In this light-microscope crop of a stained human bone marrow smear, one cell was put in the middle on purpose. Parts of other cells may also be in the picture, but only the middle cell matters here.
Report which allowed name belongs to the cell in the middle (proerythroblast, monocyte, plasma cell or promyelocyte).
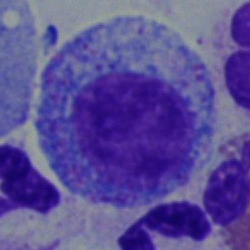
promyelocyte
